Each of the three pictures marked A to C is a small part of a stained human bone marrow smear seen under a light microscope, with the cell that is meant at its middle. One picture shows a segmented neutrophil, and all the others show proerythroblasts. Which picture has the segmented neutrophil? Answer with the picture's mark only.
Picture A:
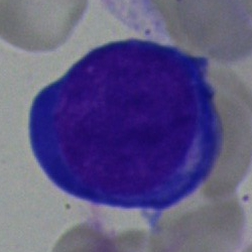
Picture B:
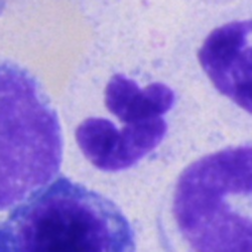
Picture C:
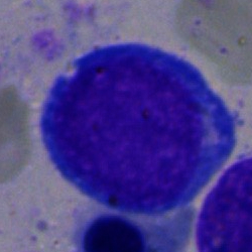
B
